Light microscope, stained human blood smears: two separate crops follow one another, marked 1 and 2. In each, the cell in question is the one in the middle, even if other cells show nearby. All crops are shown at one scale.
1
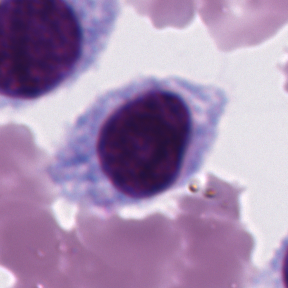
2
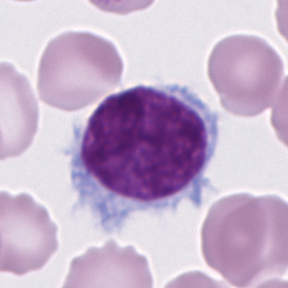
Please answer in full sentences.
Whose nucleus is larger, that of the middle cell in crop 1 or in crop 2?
Larger is the nucleus in crop 2, at roughly 1.5 times the area of the other.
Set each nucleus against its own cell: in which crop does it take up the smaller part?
Of the two, the nucleus in crop 1 leaves more room for cytoplasm.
